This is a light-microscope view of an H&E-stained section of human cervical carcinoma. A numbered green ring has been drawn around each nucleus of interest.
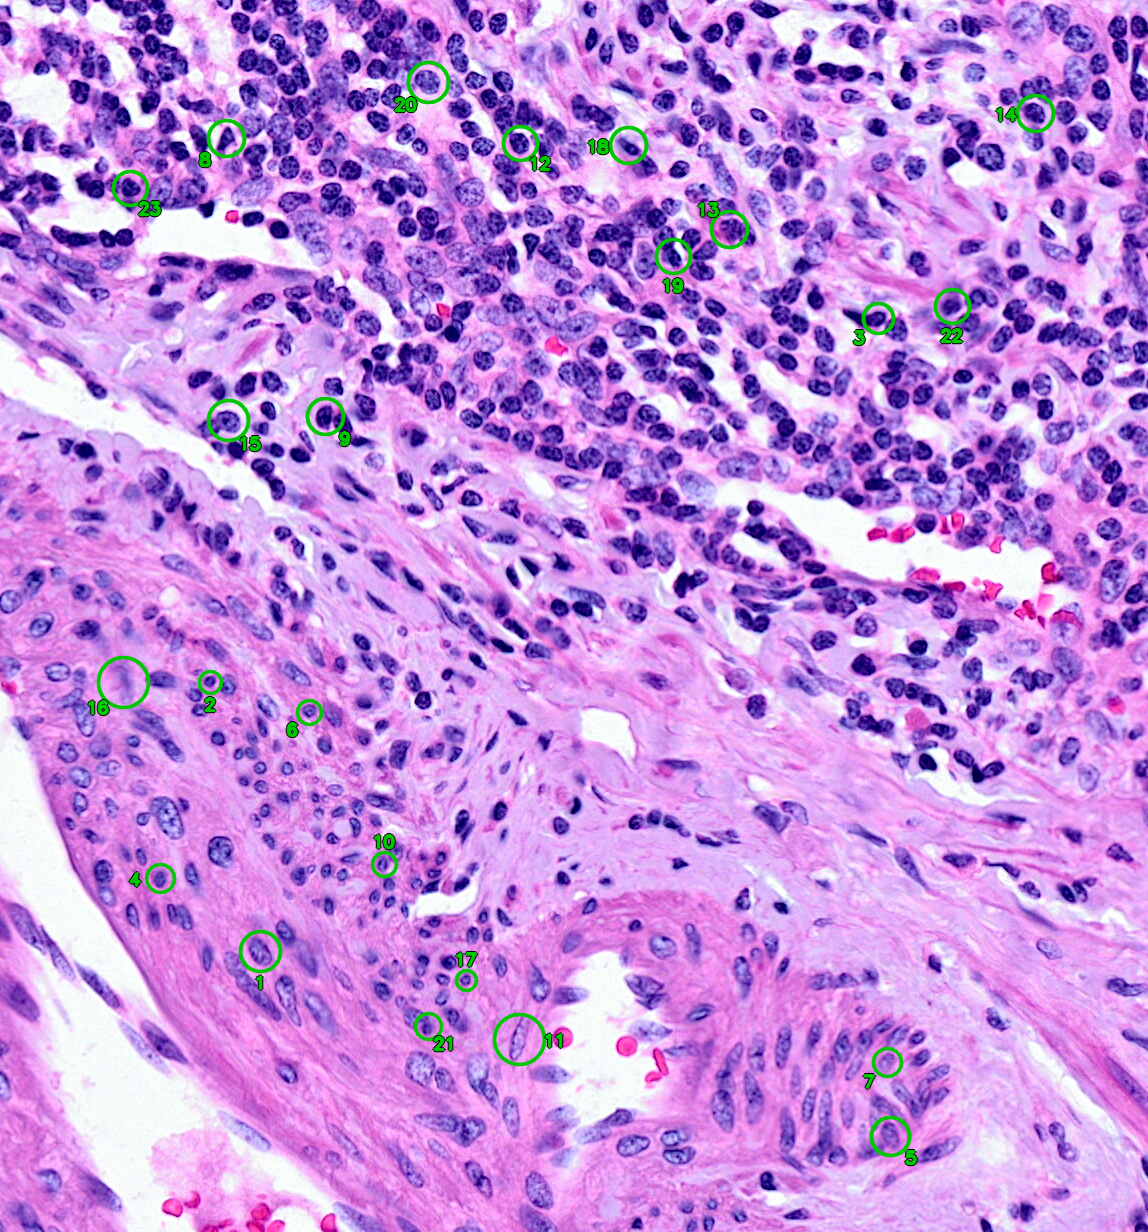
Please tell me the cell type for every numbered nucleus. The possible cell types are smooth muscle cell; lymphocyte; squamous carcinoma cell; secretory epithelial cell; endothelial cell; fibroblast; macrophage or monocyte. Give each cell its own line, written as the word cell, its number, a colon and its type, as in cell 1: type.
cell 1: smooth muscle cell
cell 2: smooth muscle cell
cell 3: lymphocyte
cell 4: smooth muscle cell
cell 5: smooth muscle cell
cell 6: smooth muscle cell
cell 7: smooth muscle cell
cell 8: lymphocyte
cell 9: lymphocyte
cell 10: smooth muscle cell
cell 11: smooth muscle cell
cell 12: lymphocyte
cell 13: lymphocyte
cell 14: lymphocyte
cell 15: lymphocyte
cell 16: smooth muscle cell
cell 17: smooth muscle cell
cell 18: lymphocyte
cell 19: lymphocyte
cell 20: lymphocyte
cell 21: smooth muscle cell
cell 22: lymphocyte
cell 23: lymphocyte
